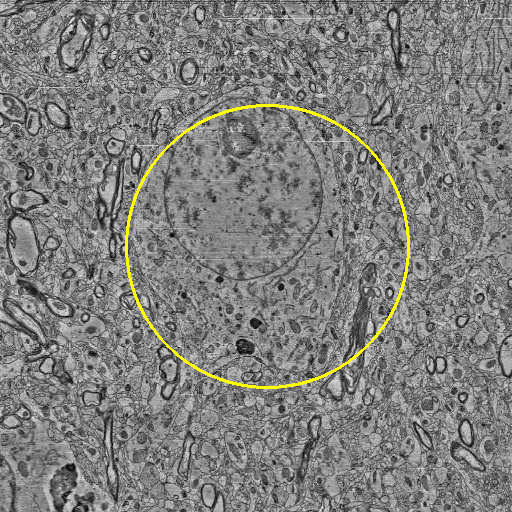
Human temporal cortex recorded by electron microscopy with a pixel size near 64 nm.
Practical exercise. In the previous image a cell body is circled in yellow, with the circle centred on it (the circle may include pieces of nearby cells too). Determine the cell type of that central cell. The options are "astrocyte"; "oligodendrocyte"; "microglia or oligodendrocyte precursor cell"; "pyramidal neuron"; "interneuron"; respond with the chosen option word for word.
pyramidal neuron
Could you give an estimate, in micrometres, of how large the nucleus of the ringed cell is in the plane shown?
In this plane, about 12 micrometres in length and 10 in width.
